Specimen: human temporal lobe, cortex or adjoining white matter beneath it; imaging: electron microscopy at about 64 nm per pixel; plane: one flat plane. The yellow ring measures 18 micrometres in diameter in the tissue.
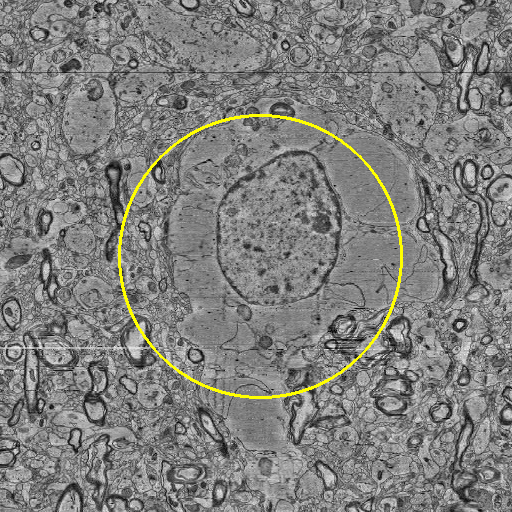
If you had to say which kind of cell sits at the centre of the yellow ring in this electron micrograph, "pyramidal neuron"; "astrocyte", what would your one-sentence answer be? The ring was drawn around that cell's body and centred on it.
The cell sitting at the centre of the ring is an astrocyte.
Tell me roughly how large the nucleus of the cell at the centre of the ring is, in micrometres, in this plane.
The nucleus measures about 10 by 8 micrometres in this plane.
